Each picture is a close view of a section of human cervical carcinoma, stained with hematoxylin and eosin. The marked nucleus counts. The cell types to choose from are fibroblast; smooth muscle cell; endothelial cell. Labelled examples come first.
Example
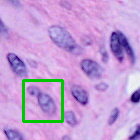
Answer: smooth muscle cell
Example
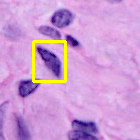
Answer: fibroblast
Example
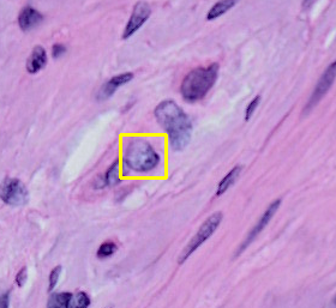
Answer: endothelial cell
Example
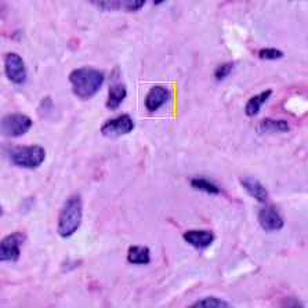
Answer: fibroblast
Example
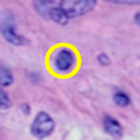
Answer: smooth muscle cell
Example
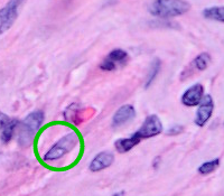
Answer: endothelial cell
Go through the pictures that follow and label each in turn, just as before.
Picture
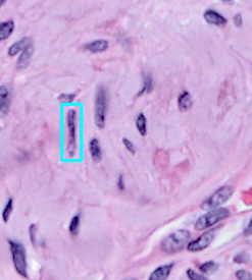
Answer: fibroblast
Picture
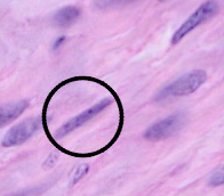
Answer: fibroblast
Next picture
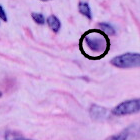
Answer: smooth muscle cell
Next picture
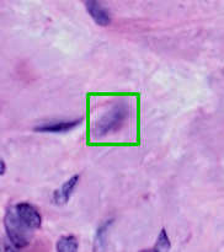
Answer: fibroblast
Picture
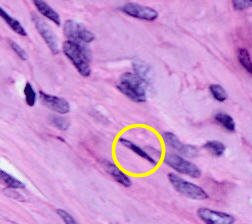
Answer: fibroblast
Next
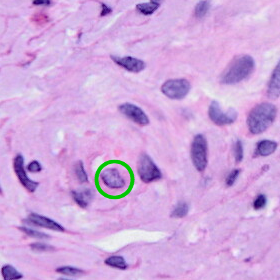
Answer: endothelial cell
